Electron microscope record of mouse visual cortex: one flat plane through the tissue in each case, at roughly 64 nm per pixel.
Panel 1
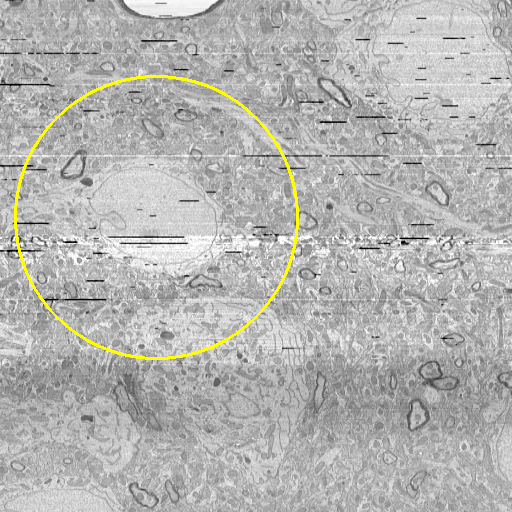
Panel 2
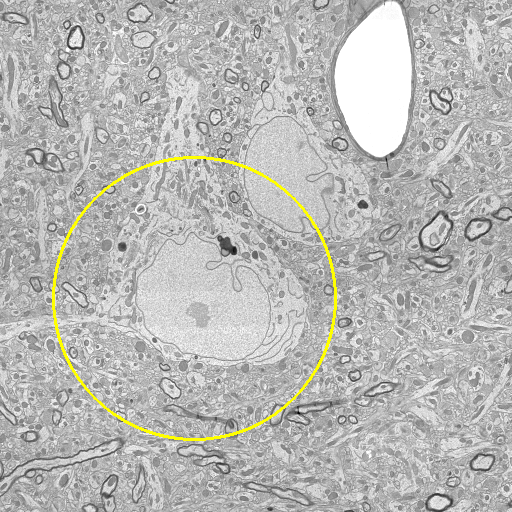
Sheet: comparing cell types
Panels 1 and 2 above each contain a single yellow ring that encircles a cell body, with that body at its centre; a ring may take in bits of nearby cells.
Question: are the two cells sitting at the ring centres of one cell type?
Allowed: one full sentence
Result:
Yes, the ring-centre cells in Panel 1 and Panel 2 are of one type.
